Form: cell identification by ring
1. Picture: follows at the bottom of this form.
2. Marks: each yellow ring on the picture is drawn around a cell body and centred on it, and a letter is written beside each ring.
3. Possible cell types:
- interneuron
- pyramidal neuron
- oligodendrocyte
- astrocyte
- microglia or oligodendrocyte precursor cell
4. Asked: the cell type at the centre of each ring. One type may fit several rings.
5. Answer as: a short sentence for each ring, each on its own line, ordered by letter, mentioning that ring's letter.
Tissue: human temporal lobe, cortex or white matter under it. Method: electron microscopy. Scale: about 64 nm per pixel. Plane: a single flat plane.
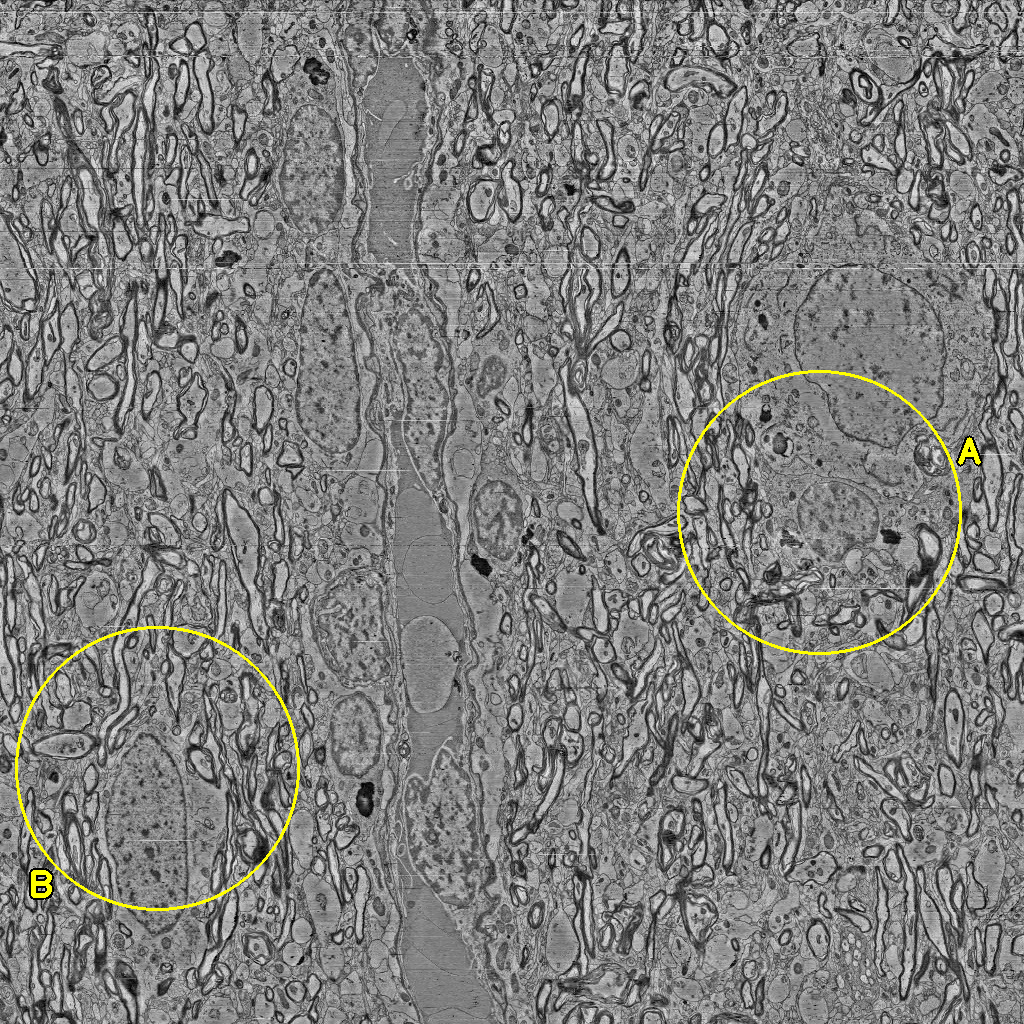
The cell at ring A's centre is an oligodendrocyte.
The cell at ring B's centre is an astrocyte.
